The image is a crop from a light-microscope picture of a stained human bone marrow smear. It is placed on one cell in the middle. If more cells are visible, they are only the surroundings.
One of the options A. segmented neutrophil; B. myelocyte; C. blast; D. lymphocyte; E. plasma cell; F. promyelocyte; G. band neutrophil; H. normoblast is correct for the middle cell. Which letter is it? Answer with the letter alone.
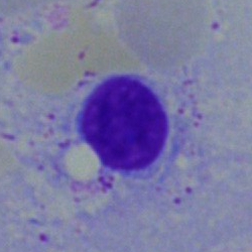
D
